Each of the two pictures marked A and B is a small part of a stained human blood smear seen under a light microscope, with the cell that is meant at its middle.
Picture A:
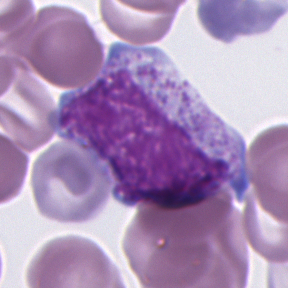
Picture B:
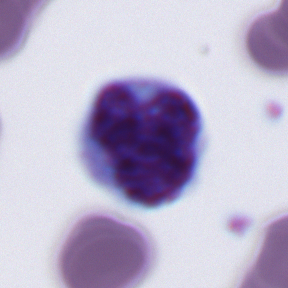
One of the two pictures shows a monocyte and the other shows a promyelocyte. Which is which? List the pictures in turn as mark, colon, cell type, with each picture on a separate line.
A: promyelocyte
B: monocyte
